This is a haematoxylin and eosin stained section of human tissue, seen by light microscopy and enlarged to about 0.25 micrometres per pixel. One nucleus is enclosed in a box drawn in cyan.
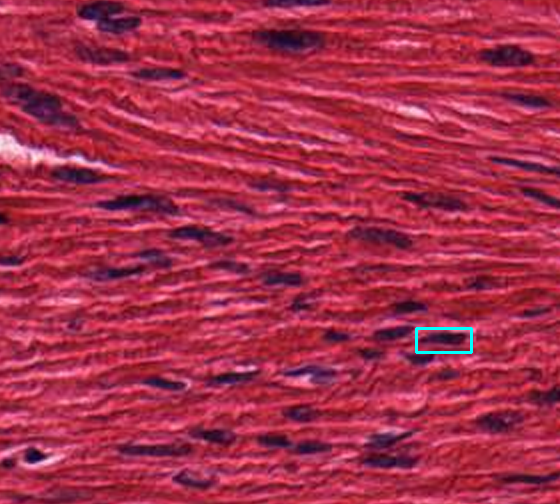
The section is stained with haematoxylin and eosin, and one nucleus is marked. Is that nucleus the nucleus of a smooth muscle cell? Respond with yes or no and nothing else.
yes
